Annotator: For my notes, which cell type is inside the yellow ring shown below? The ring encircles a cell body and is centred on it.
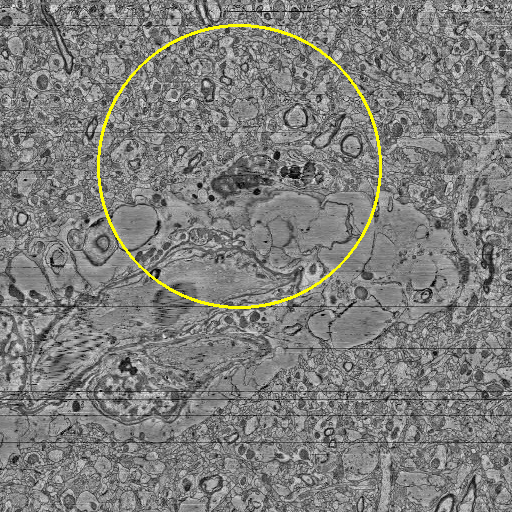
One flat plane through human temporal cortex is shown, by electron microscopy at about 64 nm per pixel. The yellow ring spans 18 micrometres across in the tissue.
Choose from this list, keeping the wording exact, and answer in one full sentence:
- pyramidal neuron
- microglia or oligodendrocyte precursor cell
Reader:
At the centre of the yellow ring there is a microglial cell or oligodendrocyte precursor cell, as shown in the picture.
